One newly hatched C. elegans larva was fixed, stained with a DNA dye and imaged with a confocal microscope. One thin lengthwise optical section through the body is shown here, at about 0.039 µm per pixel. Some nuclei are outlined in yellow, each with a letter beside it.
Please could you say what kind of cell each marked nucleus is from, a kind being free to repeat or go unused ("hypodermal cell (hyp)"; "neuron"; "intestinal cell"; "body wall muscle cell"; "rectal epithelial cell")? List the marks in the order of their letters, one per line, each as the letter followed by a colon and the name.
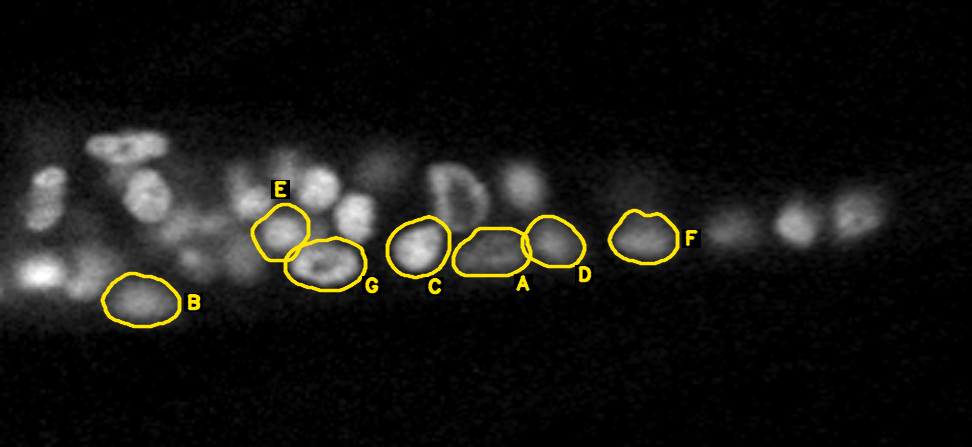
A: hypodermal cell (hyp)
B: rectal epithelial cell
C: neuron
D: hypodermal cell (hyp)
E: neuron
F: hypodermal cell (hyp)
G: body wall muscle cell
